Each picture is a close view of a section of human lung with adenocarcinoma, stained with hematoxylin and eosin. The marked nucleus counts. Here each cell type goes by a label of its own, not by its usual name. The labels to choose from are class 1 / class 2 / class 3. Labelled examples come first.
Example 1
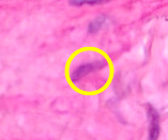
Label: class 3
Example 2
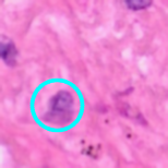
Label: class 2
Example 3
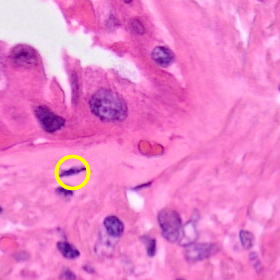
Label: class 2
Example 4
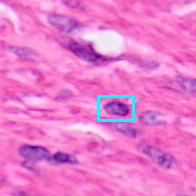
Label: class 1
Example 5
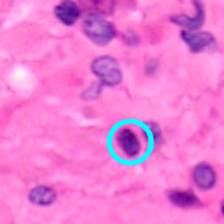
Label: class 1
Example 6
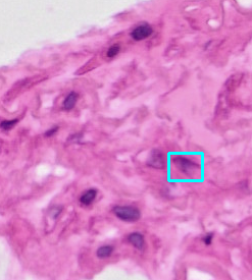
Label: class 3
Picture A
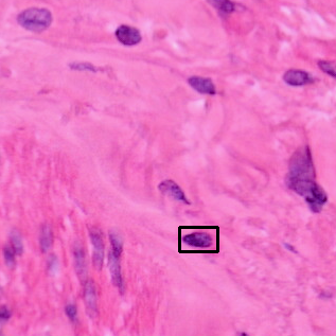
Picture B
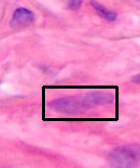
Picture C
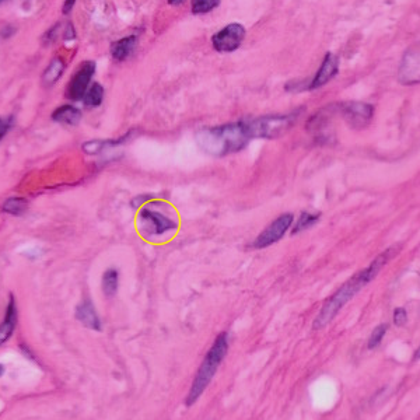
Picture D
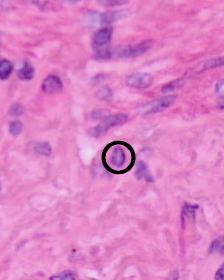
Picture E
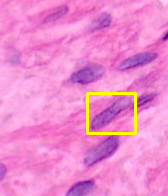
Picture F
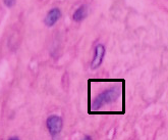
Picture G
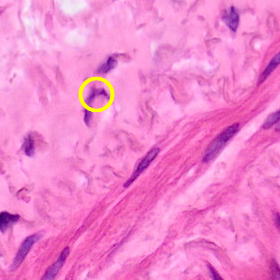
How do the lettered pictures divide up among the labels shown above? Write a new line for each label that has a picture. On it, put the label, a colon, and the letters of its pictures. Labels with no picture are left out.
class 1: A, D
class 2: C, G
class 3: B, E, F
